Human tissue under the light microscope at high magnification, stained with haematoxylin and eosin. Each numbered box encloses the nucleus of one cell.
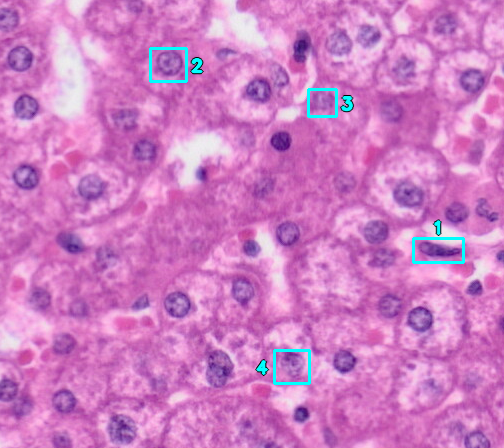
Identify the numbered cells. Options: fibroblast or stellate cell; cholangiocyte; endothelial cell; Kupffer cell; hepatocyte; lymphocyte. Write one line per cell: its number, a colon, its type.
1: Kupffer cell
2: hepatocyte
3: hepatocyte
4: hepatocyte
